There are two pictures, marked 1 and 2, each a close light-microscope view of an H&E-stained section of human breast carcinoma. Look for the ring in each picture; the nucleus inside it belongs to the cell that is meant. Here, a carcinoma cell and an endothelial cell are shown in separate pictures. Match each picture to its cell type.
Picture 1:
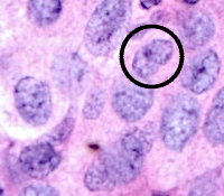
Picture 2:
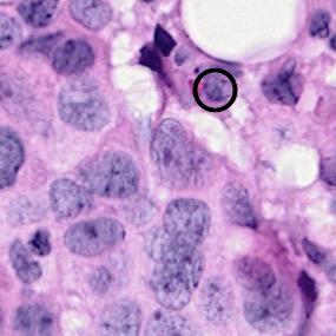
1: carcinoma cell
2: endothelial cell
